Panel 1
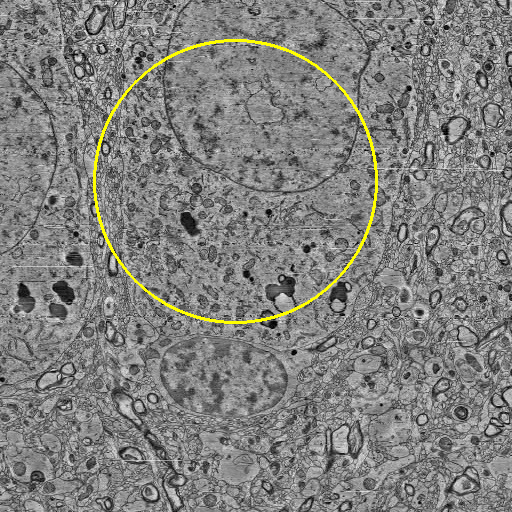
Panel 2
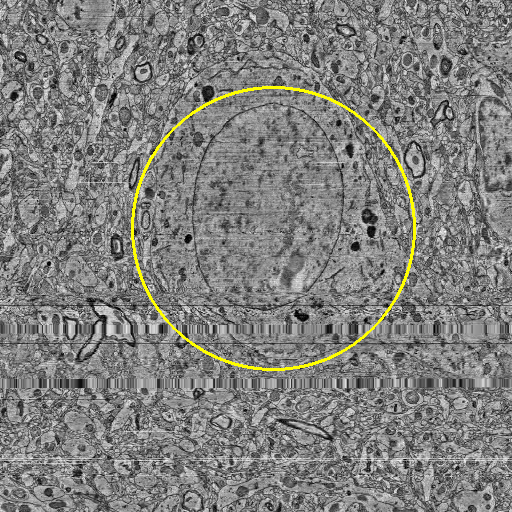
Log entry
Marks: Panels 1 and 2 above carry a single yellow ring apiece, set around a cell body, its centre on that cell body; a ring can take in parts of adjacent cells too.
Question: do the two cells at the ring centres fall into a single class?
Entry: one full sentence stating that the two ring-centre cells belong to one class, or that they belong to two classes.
The two ring-centre cells in Panels 1 and 2 belong to one class.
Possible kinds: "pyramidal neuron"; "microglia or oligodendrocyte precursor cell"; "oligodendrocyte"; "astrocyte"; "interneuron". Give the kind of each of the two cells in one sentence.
Each of the two rings surrounds a pyramidal neuron.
